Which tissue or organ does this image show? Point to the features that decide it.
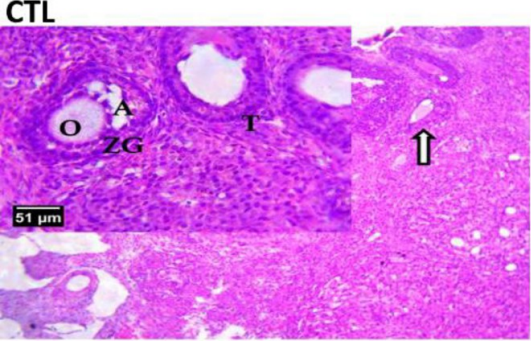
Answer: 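Ovarian tissue. Several rounded follicles with fluid-filled cavities lie in a cellular stroma. One follicle holds a large pink oocyte surrounded by layers of small cells.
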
